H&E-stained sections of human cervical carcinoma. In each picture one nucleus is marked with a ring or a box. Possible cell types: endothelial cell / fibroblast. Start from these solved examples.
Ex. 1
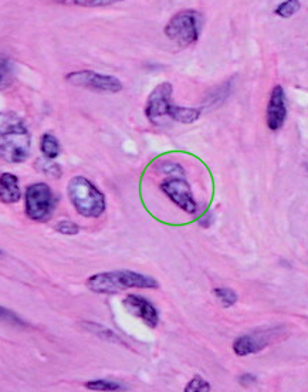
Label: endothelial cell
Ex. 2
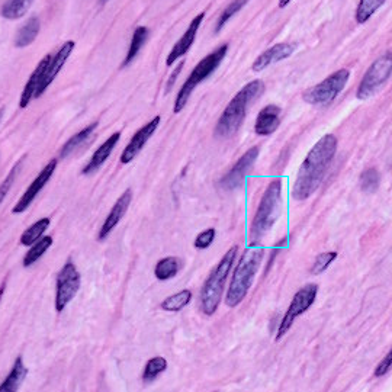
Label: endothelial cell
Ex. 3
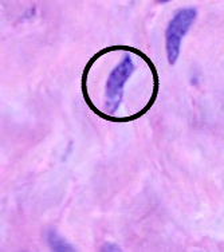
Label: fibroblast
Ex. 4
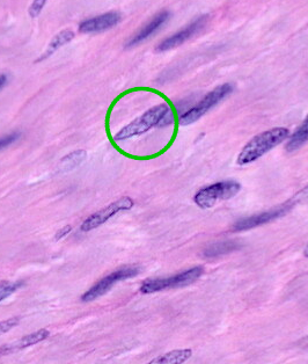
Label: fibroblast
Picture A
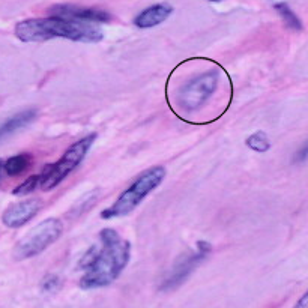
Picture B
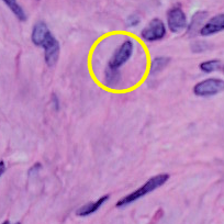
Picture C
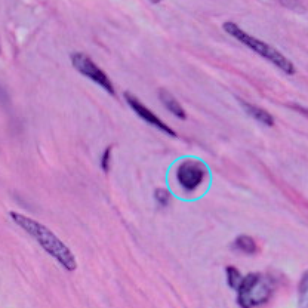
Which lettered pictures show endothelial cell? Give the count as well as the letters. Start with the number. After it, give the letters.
1, namely A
